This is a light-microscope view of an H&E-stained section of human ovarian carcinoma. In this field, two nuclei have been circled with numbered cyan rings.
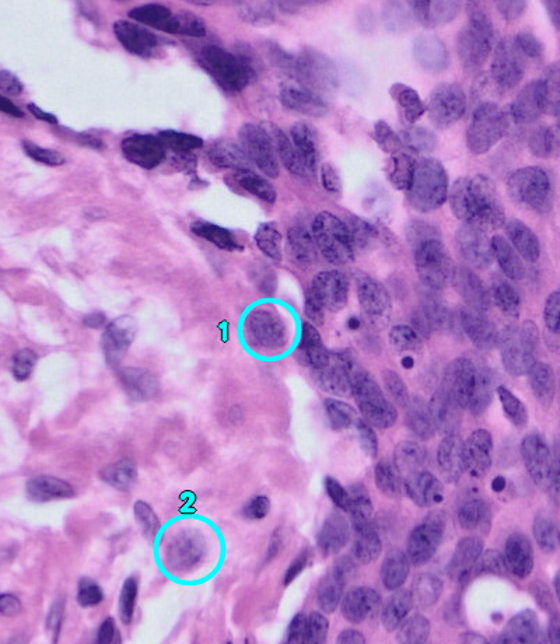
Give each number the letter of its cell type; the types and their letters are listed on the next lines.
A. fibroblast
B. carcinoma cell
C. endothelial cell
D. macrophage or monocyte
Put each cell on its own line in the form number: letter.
1: B
2: A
